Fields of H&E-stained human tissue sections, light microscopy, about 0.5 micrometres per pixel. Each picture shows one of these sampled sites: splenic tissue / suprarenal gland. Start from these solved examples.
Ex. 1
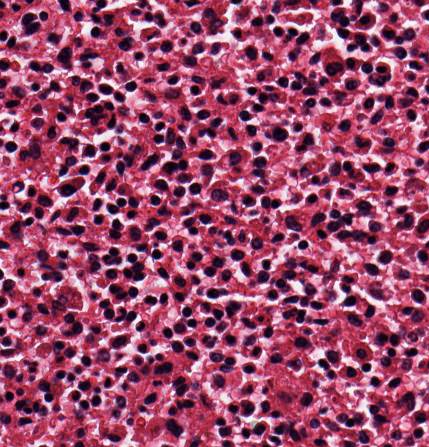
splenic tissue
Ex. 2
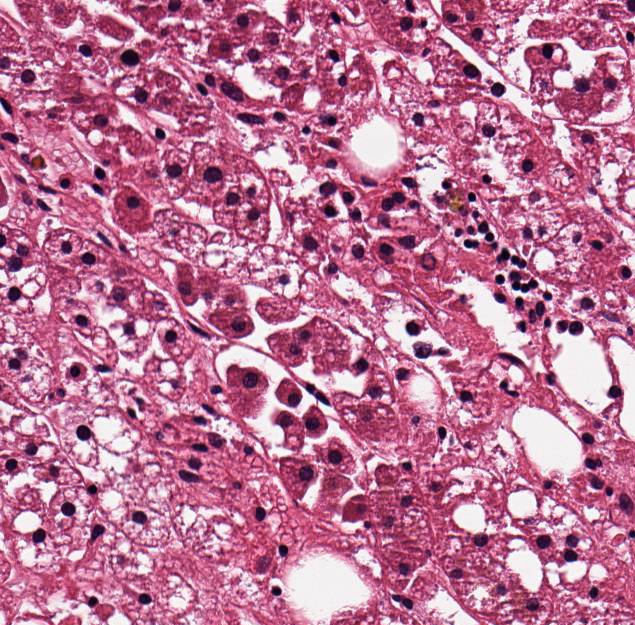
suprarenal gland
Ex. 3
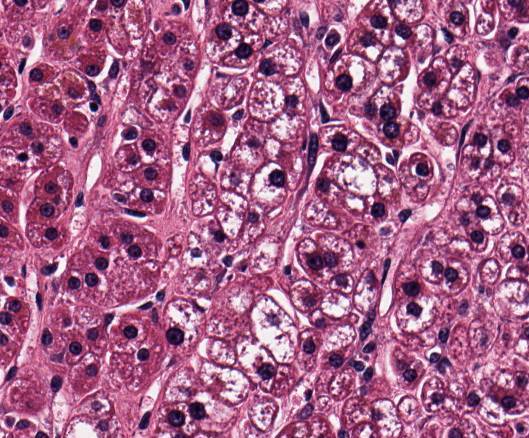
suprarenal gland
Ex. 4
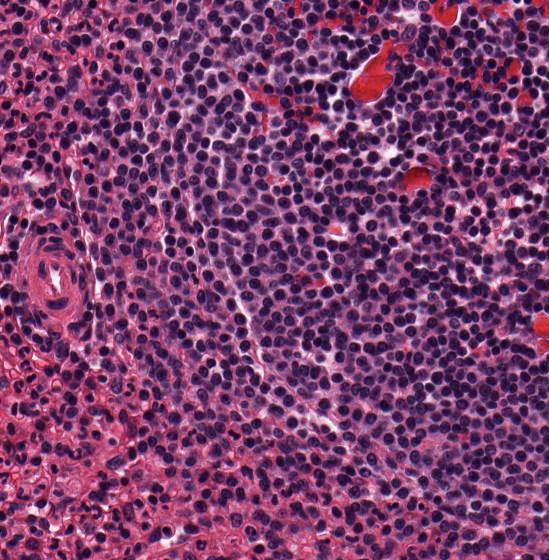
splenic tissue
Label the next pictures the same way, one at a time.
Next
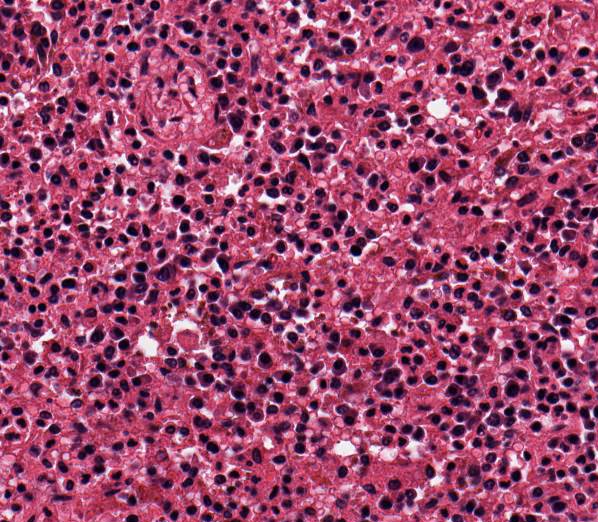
splenic tissue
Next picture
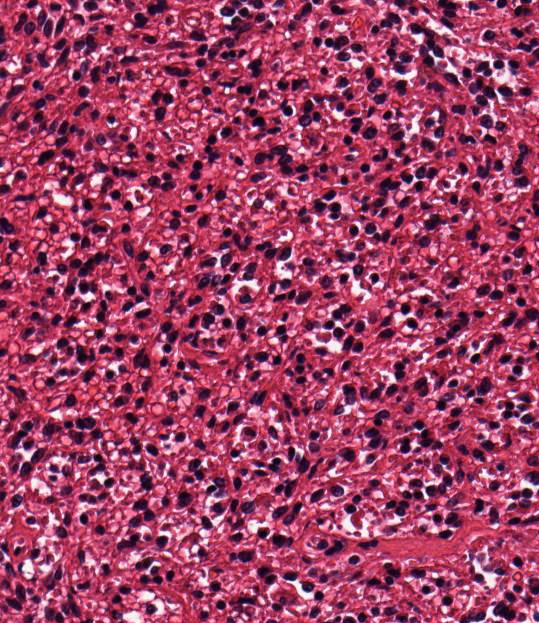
splenic tissue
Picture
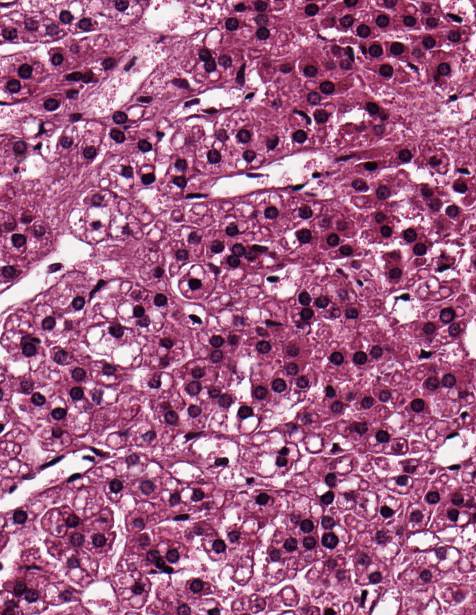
suprarenal gland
